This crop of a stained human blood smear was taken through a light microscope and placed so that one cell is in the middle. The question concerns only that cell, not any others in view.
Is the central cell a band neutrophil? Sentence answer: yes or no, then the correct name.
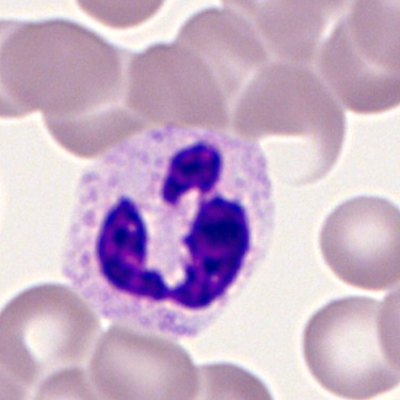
No, at the middle of the crop is a segmented neutrophil, not a band neutrophil.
